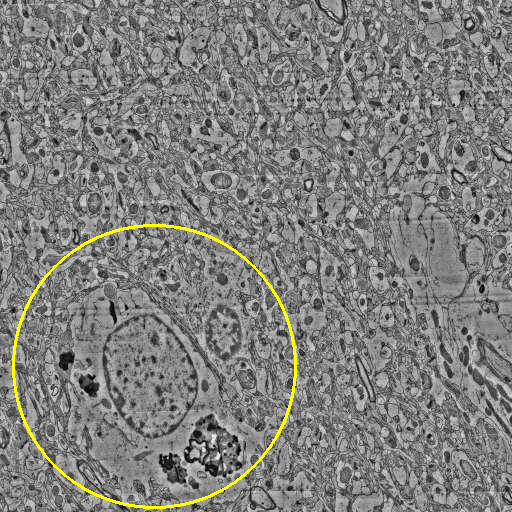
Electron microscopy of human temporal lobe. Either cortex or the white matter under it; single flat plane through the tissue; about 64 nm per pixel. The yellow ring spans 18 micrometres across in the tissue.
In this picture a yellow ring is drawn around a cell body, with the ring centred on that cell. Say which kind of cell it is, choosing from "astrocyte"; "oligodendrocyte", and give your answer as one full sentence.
Here it is an astrocyte that sits at the centre of the drawn yellow ring.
